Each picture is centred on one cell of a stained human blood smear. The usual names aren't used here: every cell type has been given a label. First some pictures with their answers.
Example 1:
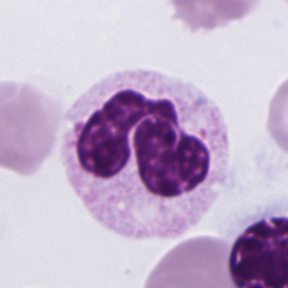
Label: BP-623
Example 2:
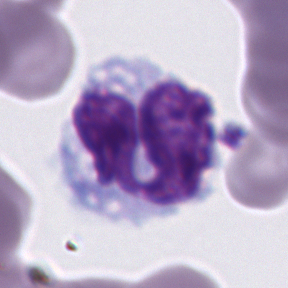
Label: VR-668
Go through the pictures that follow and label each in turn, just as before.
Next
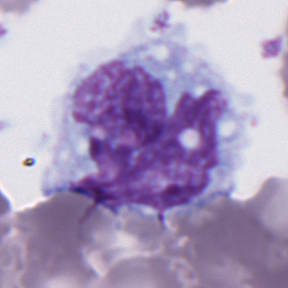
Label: VR-668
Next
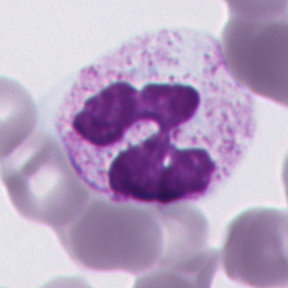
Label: BP-623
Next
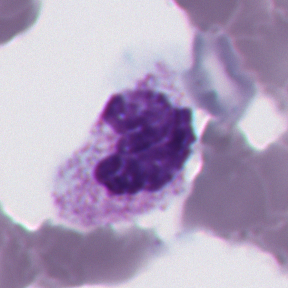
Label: BP-623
